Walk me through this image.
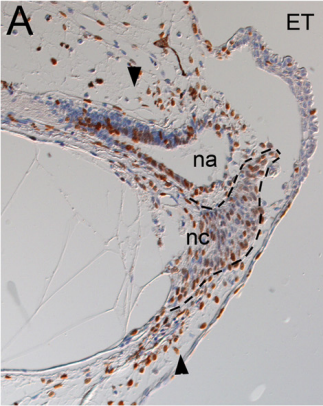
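This is a sagittal section of a regenerating tadpole tail, with the large vacuolated notochord below and the regenerating spinal cord above it ending in a dilated neural ampulla. The tip of the notochord is made of densely packed small cells, many with brown nuclei. The spinal cord wall shows a layer of tightly packed blue and brown nuclei, and scattered mesenchymal cells with brown nuclei fill the fin tissue above and below, under a thin epidermis.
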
